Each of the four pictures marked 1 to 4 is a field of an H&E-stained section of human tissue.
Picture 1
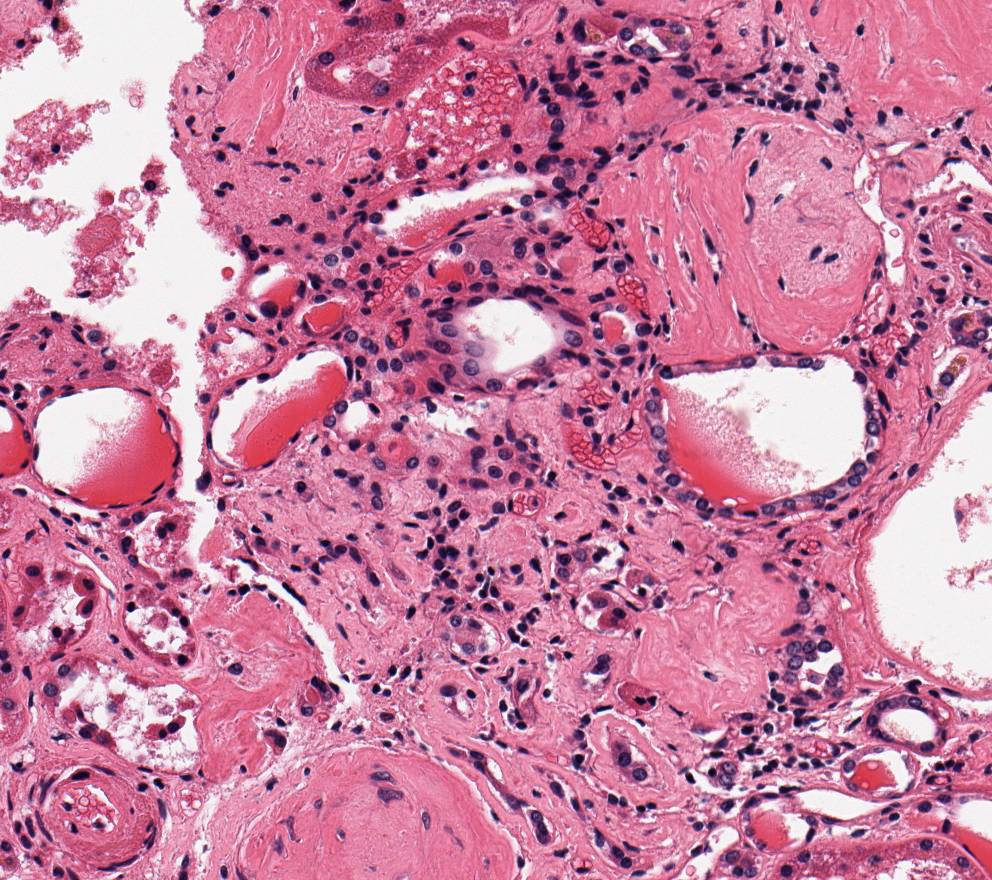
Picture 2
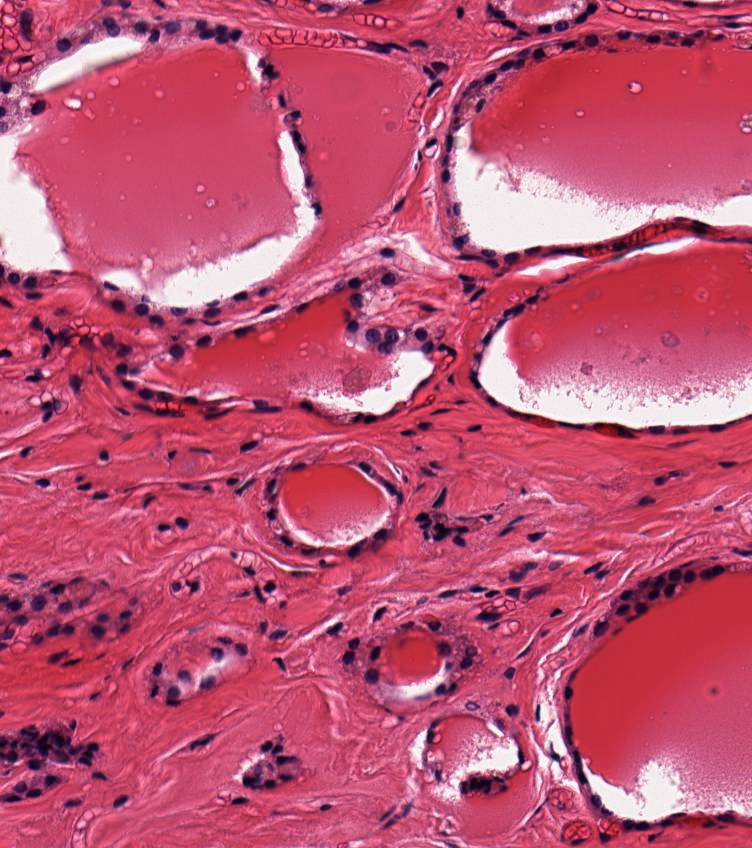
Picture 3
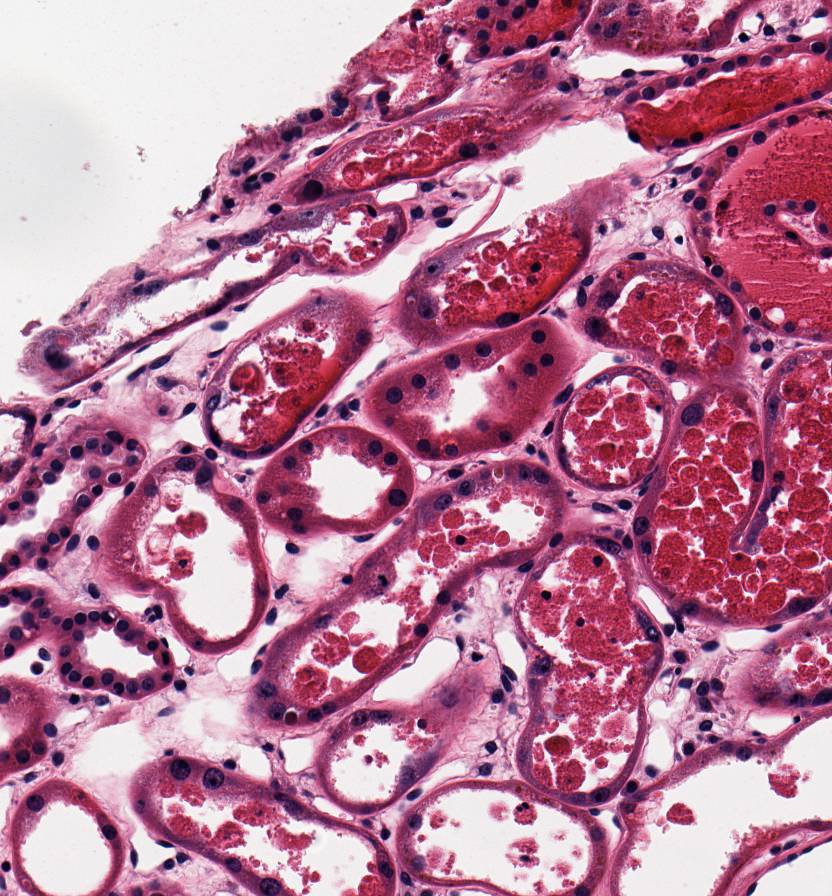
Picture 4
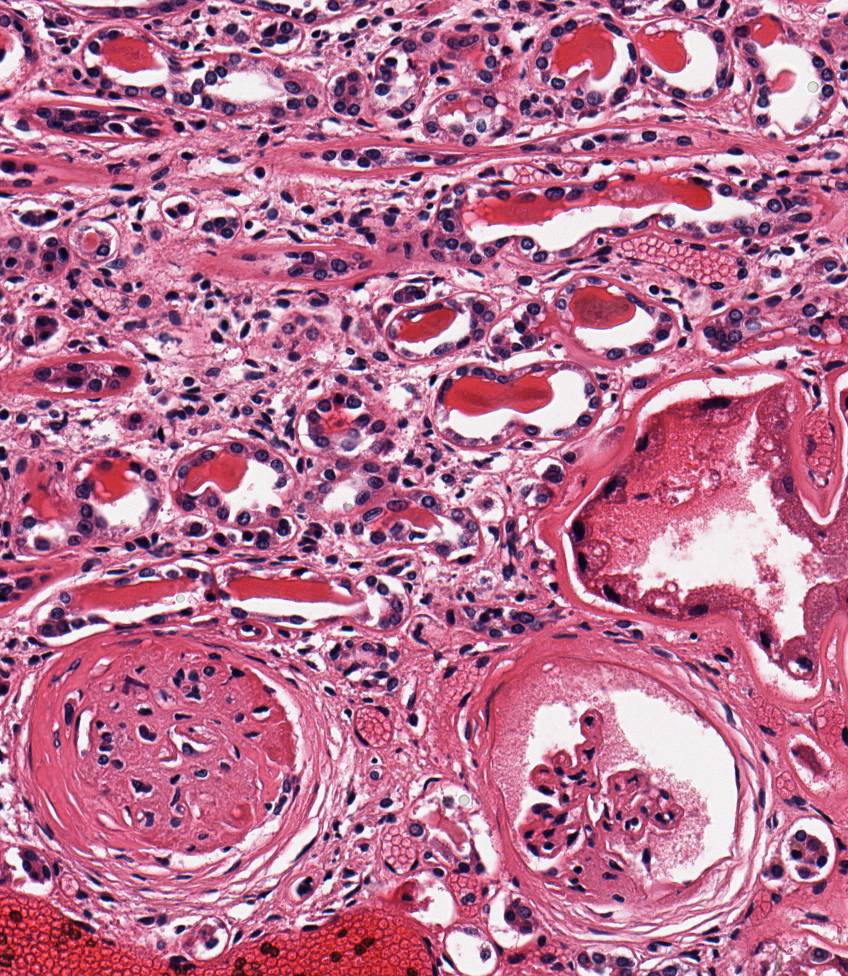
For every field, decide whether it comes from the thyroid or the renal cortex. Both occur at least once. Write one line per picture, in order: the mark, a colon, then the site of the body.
1: renal cortex
2: thyroid
3: renal cortex
4: renal cortex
